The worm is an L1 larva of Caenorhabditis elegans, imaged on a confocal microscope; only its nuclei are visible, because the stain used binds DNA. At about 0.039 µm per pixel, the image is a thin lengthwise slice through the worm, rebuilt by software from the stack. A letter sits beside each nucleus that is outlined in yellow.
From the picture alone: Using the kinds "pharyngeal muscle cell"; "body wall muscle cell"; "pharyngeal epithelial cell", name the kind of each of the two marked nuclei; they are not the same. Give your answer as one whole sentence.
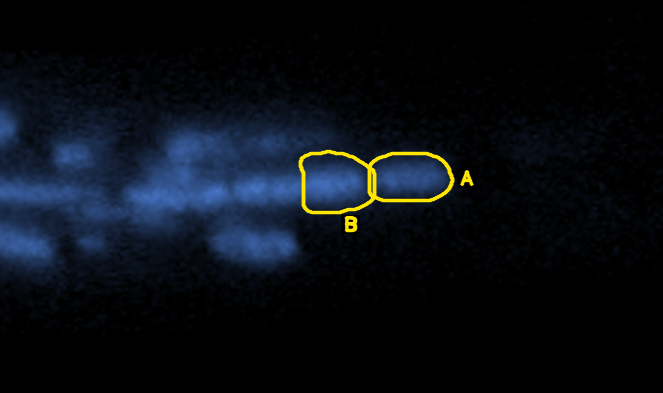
B belongs to a pharyngeal muscle cell, and A to a pharyngeal epithelial cell.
